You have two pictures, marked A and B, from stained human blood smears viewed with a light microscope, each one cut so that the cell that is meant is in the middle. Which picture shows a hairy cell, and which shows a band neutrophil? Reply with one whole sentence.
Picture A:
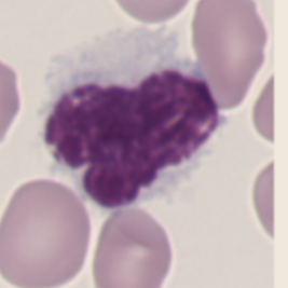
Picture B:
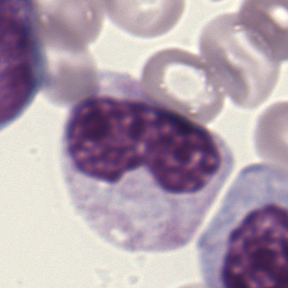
The cell in picture A is a hairy cell, and the one in picture B is a band neutrophil.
